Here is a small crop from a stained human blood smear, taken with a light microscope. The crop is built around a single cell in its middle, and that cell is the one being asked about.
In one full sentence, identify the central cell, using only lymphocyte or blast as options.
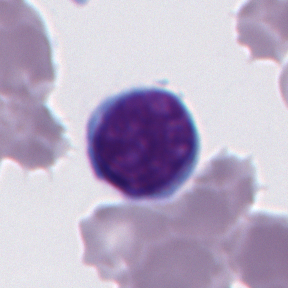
The cell in the middle of the field of view is a lymphocyte.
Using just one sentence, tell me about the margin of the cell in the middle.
In short, the margin is smooth with no projections at all.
